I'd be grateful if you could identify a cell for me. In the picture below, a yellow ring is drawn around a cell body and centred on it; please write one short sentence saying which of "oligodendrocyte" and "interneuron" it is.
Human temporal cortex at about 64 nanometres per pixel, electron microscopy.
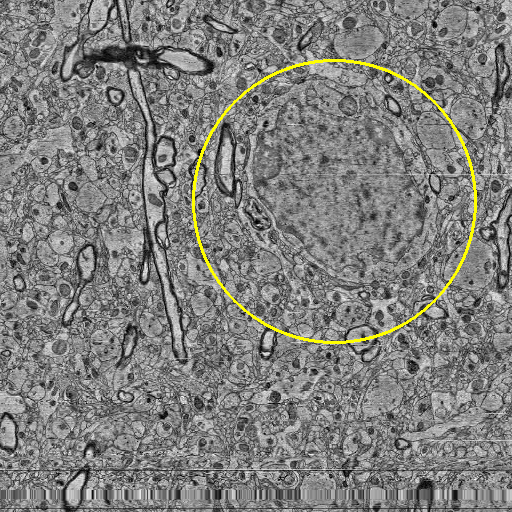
The cell under the ring's centre is an interneuron.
